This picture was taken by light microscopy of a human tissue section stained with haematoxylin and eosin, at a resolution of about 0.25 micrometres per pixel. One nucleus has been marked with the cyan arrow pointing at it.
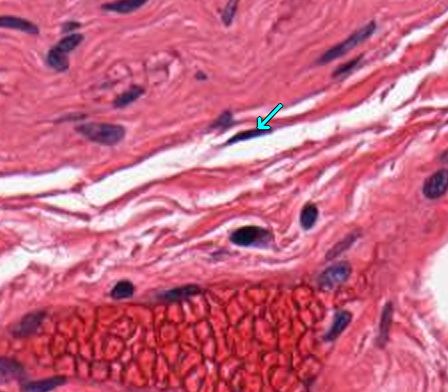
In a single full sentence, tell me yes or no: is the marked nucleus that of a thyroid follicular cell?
No, as for the marked nucleus, it belongs to a supporting cell and not to a thyroid follicular cell.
